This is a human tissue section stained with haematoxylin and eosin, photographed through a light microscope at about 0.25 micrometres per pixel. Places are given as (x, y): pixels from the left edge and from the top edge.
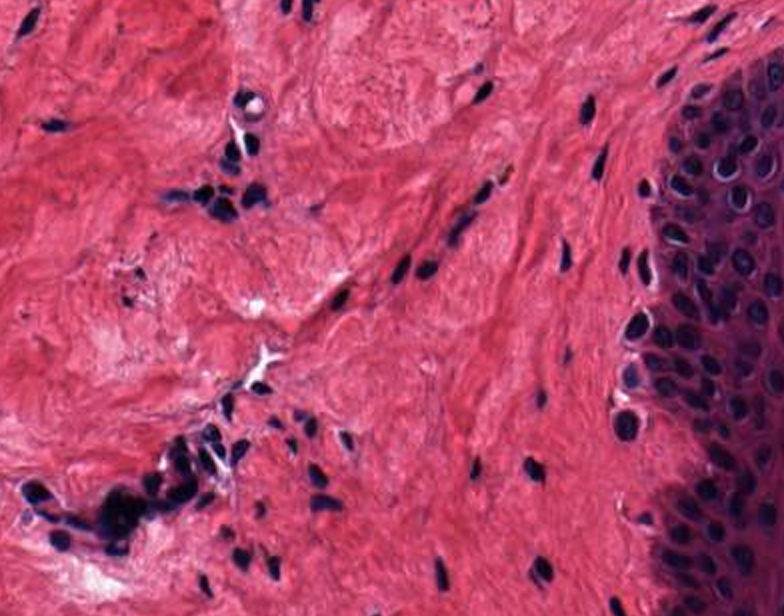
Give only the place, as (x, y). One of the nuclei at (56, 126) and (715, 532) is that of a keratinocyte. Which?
(715, 532)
